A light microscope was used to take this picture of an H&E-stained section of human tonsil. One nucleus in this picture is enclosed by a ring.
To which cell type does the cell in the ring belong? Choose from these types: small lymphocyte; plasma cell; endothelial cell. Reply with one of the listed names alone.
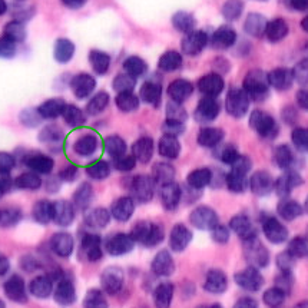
small lymphocyte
